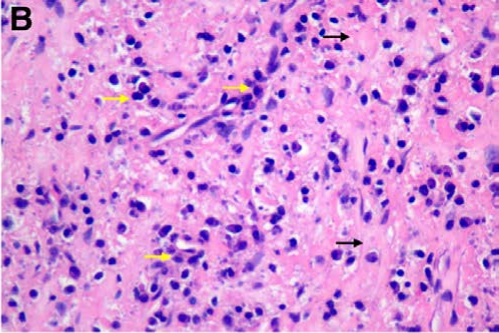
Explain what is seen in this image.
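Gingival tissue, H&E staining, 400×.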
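Many round cells have dark, round nuclei, several placed off-centre with a pink rim of cytoplasm on one side, as plasma cells show; smaller cells with scant cytoplasm and dark round nuclei are lymphocytes. Between them run pink collagen fibres in irregular, interlacing directions, with elongated spindle-shaped nuclei of fibroblasts lying along them. The cells are scattered rather than forming follicles, and the fibrous strands wind between the inflammatory cells instead of forming orderly parallel bundles, giving a whorled, fibrotic stroma.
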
